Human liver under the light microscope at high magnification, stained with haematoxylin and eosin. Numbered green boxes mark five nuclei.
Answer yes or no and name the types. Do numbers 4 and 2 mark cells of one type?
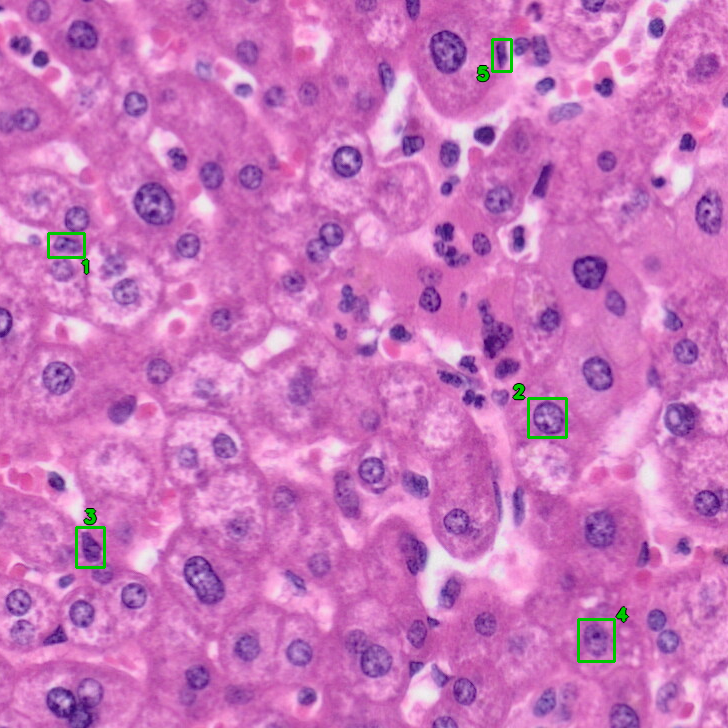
Yes, the two cells marked 4 and 2 are both hepatocytes.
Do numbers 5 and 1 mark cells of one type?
Yes, with respect to identity, cells 5 and 1 are both fibroblasts or stellate cells.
